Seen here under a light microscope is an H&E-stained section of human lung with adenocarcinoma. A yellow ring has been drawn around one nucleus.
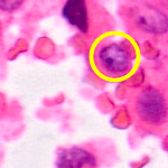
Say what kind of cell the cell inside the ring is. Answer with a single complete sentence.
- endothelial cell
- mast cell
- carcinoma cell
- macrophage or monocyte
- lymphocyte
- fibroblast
Just put down that the cell inside the ring is a macrophage or monocyte.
